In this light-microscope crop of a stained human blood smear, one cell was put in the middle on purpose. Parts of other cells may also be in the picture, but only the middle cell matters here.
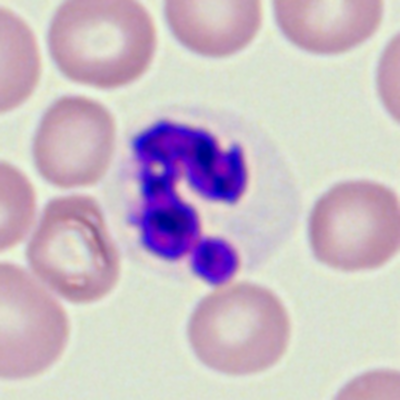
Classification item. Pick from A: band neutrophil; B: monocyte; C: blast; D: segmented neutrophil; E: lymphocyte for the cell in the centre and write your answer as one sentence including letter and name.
Option D is right in identifying the central cell as a segmented neutrophil.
